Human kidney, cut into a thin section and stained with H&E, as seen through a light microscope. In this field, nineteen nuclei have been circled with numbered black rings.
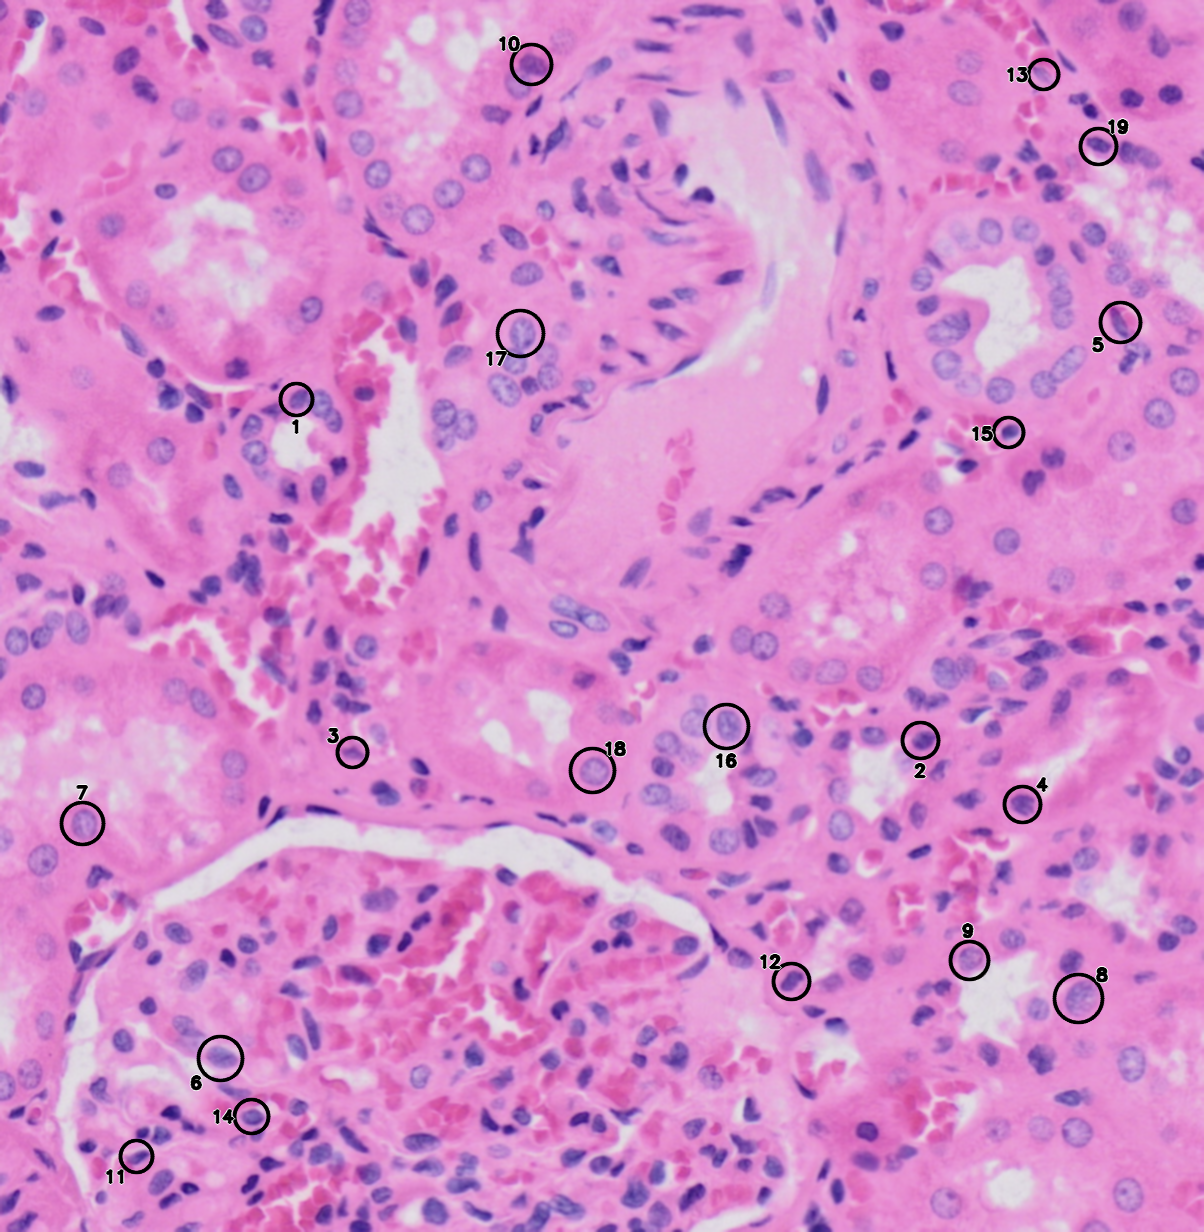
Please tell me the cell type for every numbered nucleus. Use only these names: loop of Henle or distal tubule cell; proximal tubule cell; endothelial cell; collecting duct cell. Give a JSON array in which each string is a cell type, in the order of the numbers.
["collecting duct cell", "loop of Henle or distal tubule cell", "loop of Henle or distal tubule cell", "proximal tubule cell", "endothelial cell", "endothelial cell", "proximal tubule cell", "loop of Henle or distal tubule cell", "loop of Henle or distal tubule cell", "proximal tubule cell", "endothelial cell", "loop of Henle or distal tubule cell", "endothelial cell", "endothelial cell", "endothelial cell", "collecting duct cell", "collecting duct cell", "proximal tubule cell", "loop of Henle or distal tubule cell"]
